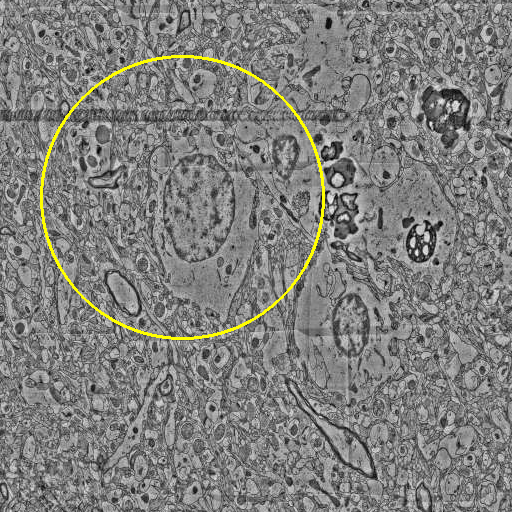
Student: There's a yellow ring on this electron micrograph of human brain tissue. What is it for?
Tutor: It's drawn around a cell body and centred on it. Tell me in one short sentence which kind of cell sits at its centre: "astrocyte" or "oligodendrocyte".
The cell at the centre of the ring is an astrocyte.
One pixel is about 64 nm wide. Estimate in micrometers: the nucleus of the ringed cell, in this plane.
About 7 by 5 micrometres in this plane.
